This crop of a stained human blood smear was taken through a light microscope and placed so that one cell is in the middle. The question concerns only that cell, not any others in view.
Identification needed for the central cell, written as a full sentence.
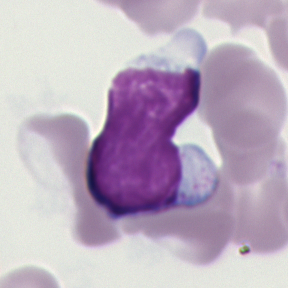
For this crop, the cell in the middle is a large granular lymphocyte.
